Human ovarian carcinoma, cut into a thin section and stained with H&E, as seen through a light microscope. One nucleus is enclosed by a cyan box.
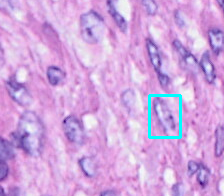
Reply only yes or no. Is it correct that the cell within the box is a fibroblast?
yes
